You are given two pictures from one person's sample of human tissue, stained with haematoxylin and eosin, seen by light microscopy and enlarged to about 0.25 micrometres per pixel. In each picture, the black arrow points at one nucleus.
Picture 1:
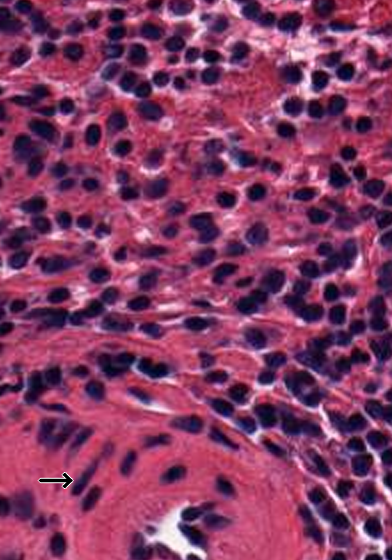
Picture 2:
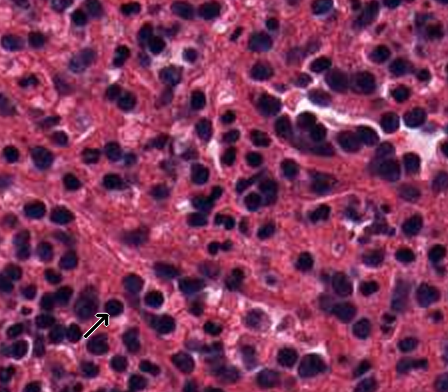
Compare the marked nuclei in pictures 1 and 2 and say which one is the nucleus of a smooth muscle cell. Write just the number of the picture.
1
